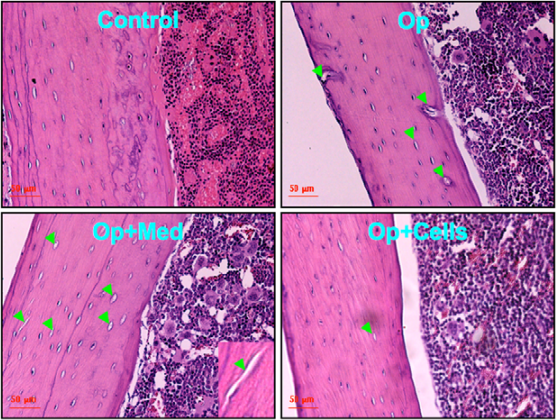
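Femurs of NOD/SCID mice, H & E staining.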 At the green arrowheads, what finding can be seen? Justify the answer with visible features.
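Micro fissures. The arrowheads point to small elongated gaps within the pink compact bone. The gaps lie in the bone matrix, not in the marrow beside it.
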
